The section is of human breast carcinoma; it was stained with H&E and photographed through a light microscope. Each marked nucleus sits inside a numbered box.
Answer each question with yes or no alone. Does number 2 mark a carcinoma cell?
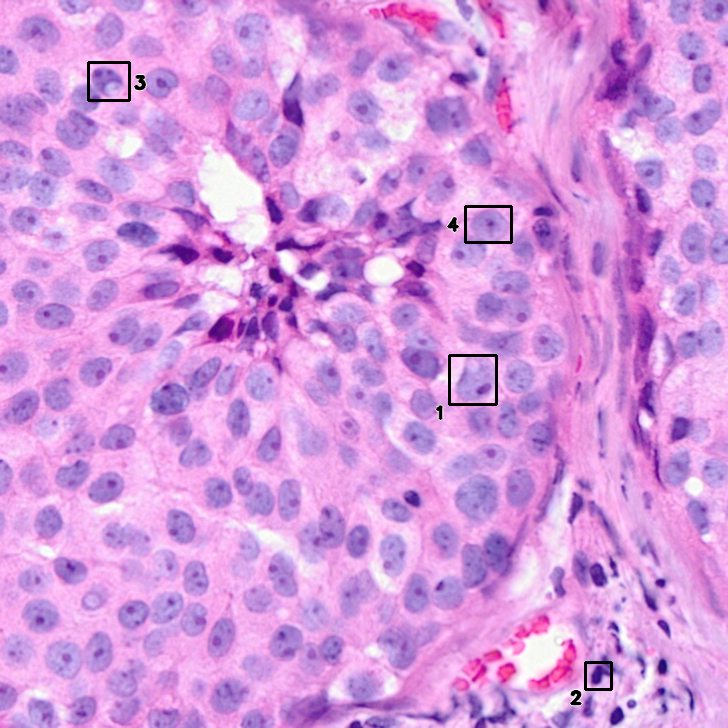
no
